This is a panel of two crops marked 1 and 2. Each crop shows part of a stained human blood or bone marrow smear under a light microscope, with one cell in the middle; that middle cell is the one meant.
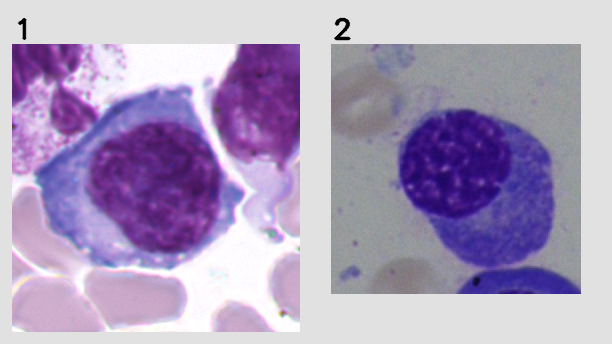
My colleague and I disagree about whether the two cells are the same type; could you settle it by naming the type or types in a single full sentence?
Yes, plasma cells are the cells in the middle of both crops.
